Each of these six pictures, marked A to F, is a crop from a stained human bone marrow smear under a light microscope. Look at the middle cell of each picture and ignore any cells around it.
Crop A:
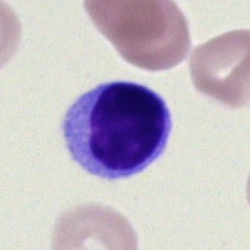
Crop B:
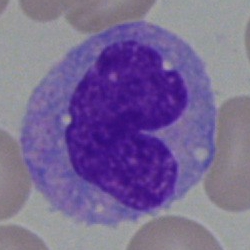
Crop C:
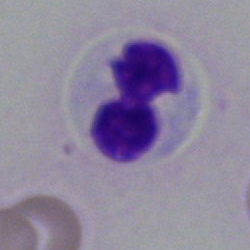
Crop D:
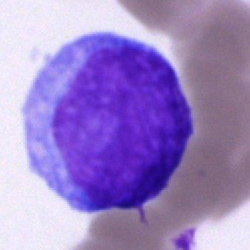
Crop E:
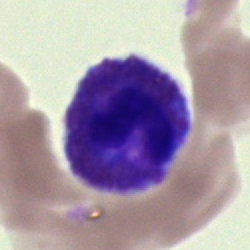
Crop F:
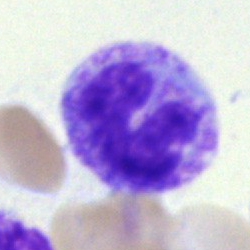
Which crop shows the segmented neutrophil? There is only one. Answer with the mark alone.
C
